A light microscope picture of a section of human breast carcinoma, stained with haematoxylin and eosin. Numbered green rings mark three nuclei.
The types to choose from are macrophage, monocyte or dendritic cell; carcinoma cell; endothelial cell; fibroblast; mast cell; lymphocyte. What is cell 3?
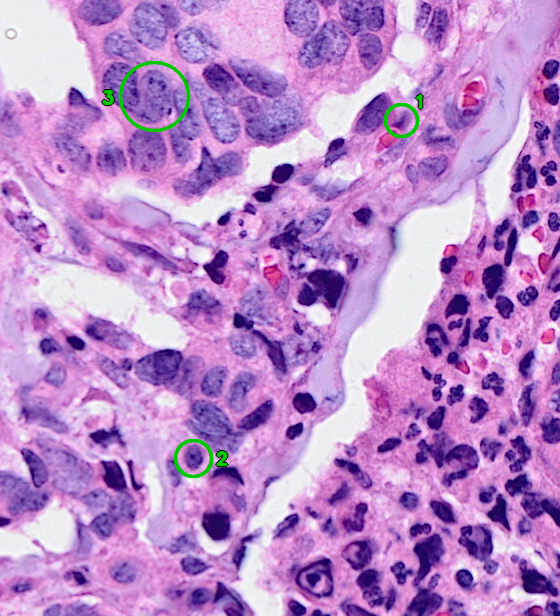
carcinoma cell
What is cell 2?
mast cell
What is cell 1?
endothelial cell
